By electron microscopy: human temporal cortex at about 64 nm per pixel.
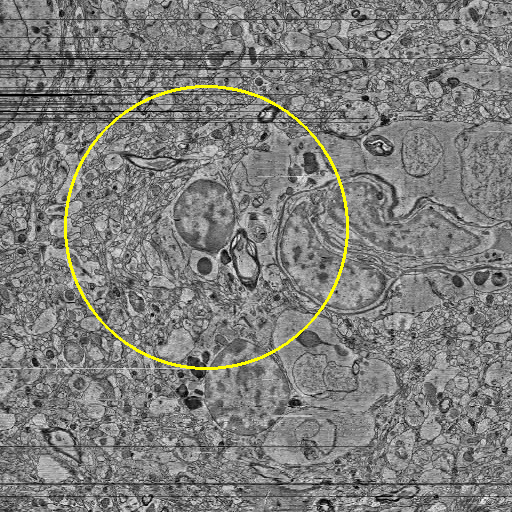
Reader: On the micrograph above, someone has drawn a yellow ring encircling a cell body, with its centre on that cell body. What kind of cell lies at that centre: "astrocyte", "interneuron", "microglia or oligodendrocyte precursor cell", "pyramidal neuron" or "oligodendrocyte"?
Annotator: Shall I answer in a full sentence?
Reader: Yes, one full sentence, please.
Here a microglial cell or oligodendrocyte precursor cell sits at the centre of the yellow ring drawn on the micrograph.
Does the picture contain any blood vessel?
Yes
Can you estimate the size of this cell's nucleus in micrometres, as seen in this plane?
Roughly 5 micrometres by 4 micrometres, in this plane.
